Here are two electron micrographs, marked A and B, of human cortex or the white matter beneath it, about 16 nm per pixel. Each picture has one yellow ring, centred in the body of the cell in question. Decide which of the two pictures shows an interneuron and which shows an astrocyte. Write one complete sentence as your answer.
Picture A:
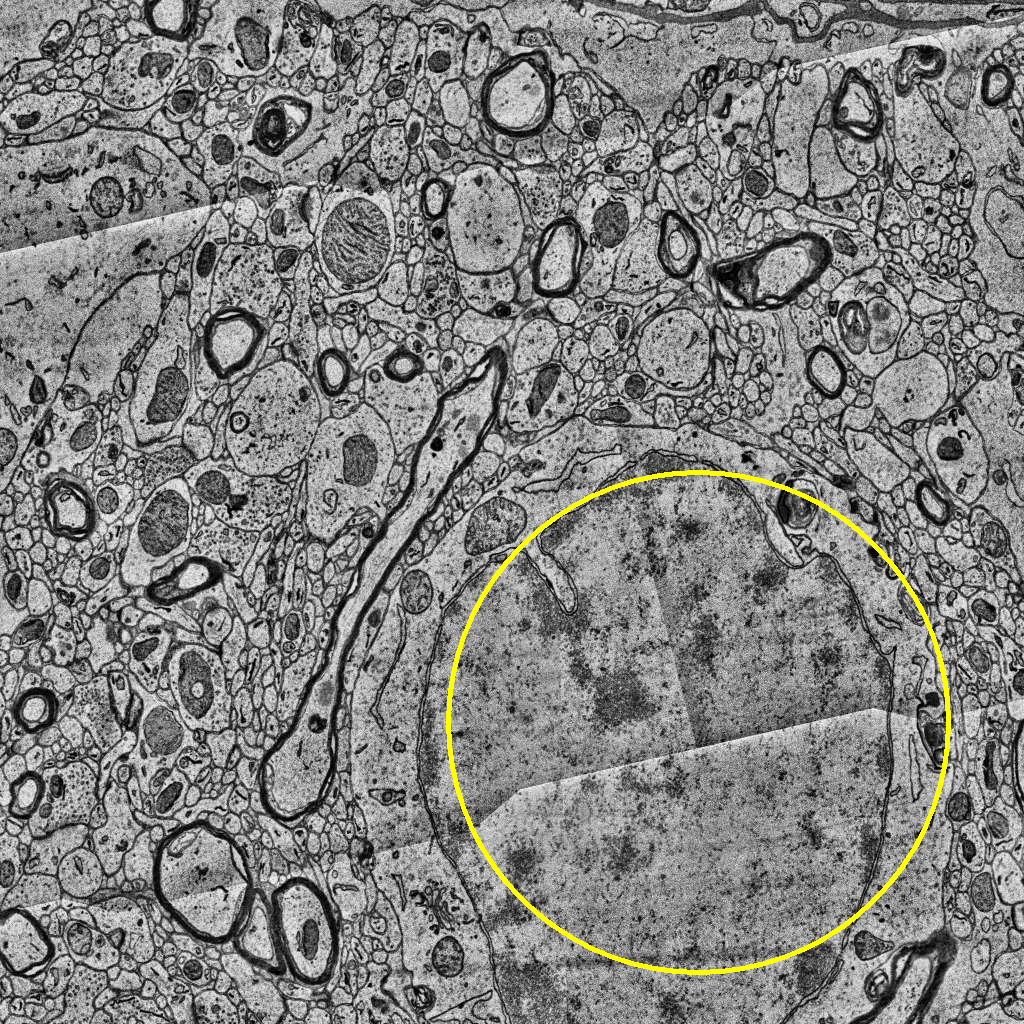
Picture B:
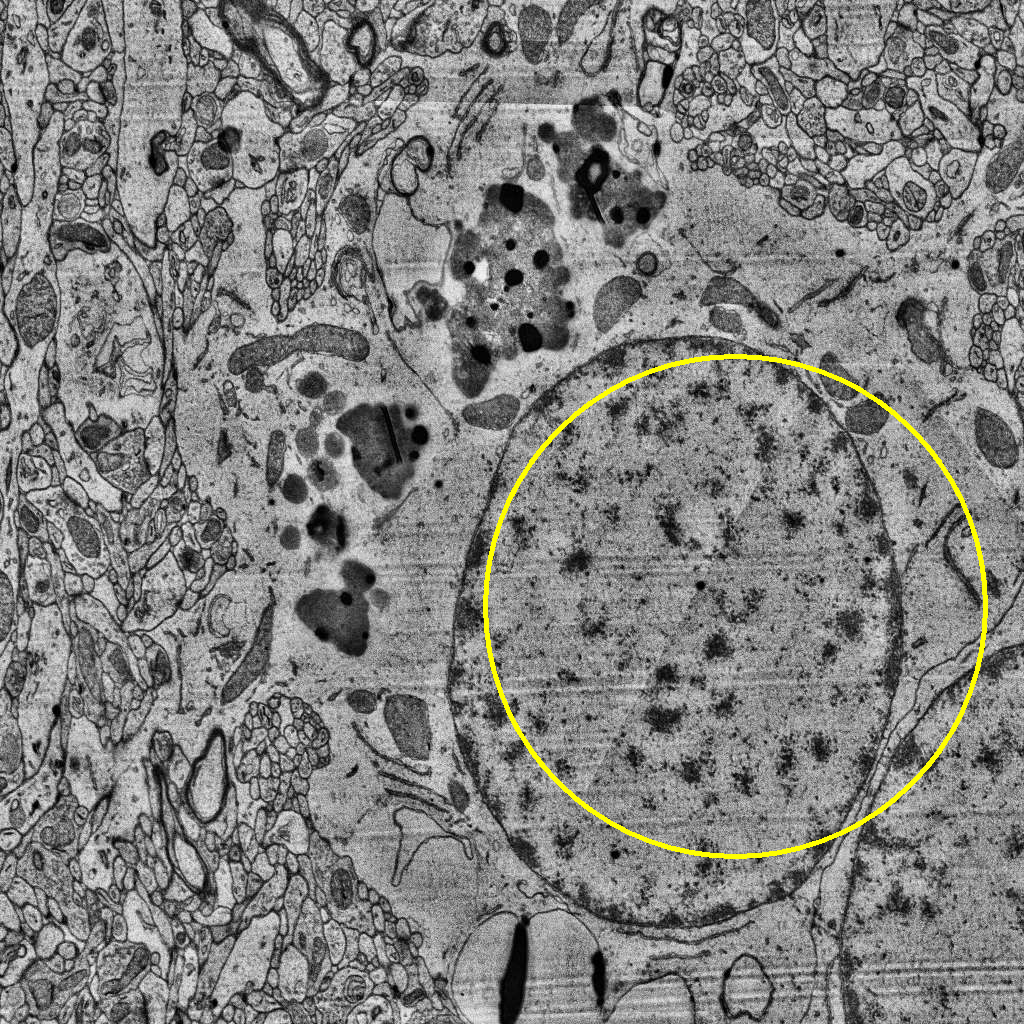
Picture B shows an astrocyte, while picture A shows an interneuron.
